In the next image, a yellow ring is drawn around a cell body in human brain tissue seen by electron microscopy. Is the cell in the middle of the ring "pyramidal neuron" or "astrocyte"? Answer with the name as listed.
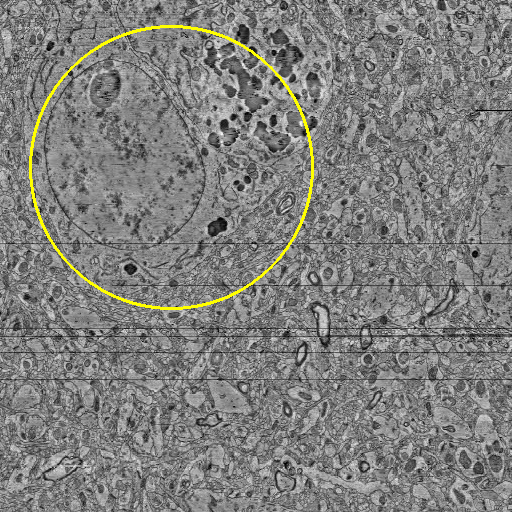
pyramidal neuron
